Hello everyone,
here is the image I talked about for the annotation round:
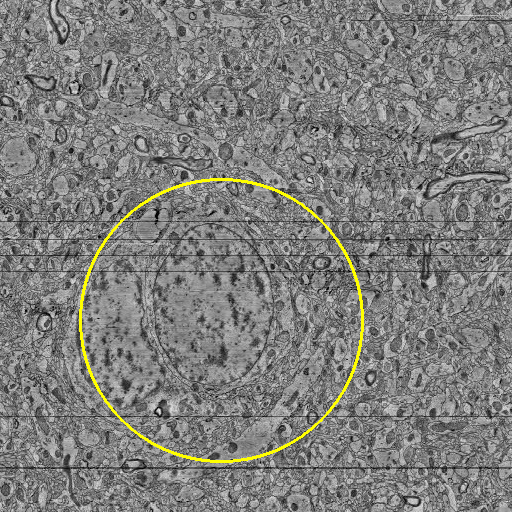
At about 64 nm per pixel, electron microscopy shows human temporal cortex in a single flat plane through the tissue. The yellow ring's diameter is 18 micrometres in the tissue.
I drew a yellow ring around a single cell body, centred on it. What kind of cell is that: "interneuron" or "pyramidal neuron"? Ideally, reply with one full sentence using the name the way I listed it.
The cell your yellow ring is centred on is a pyramidal neuron, going by your list.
